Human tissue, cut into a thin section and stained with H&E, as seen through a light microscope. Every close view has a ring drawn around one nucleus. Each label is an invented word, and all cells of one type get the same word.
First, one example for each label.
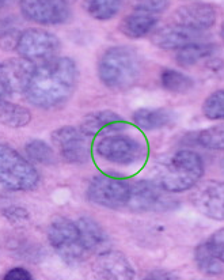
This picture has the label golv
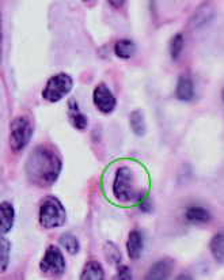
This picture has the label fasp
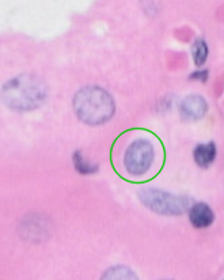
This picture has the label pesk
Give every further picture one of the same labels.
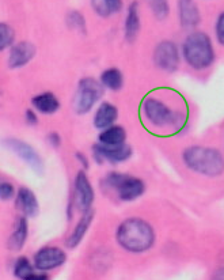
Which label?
pesk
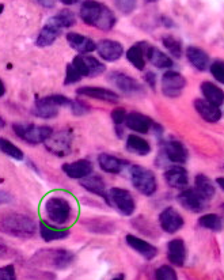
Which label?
fasp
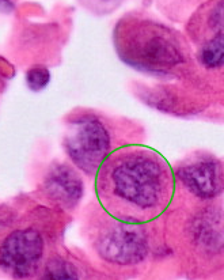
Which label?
golv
